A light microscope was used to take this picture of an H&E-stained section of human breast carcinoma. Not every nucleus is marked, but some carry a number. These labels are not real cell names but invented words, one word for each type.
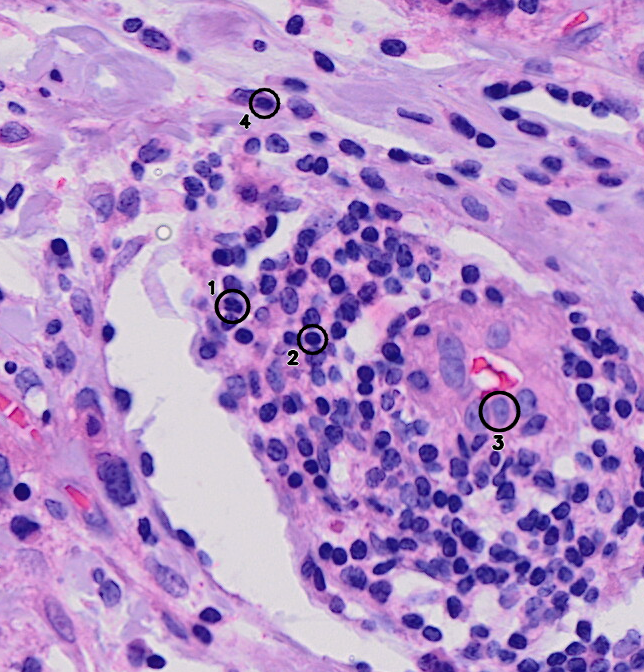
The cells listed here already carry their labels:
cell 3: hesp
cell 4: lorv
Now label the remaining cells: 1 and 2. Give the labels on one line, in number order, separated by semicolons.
lorv; lorv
